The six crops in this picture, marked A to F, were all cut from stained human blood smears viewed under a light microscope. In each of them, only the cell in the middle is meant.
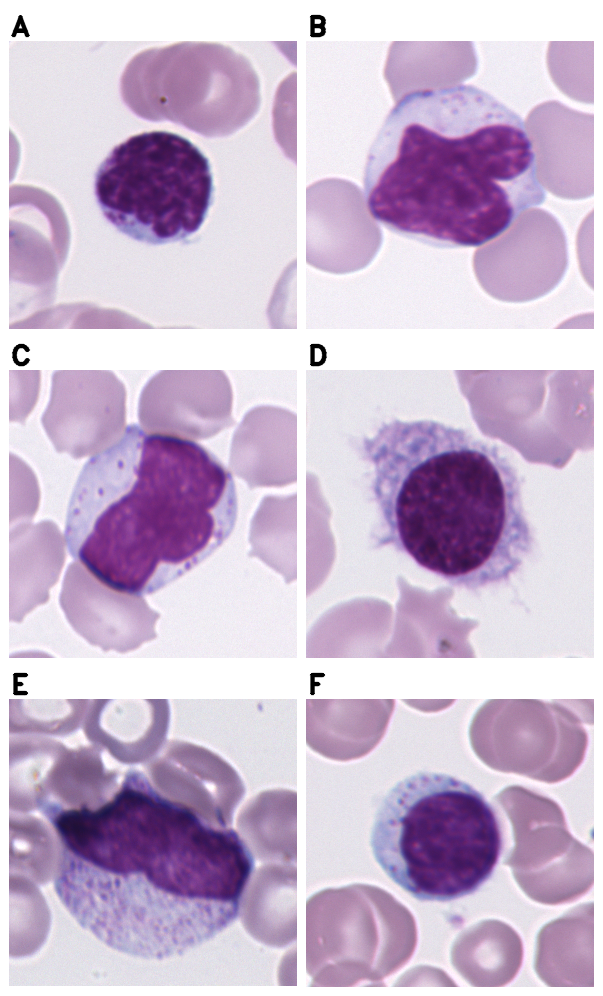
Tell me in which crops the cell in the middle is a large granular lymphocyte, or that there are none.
A, B, C, F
